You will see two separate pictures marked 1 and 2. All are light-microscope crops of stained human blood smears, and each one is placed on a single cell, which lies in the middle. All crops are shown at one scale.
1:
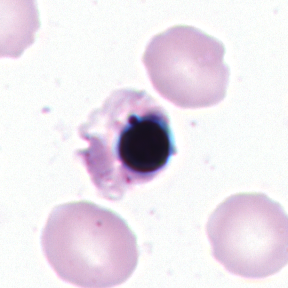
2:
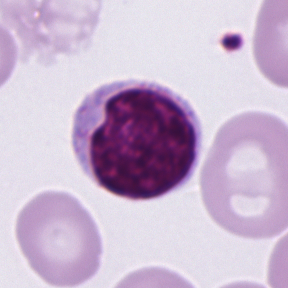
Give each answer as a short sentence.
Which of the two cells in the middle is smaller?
Smaller is the cell in picture 1, and the other is about 2.5 times as large in area.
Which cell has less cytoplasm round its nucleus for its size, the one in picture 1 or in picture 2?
The nucleus fills more of the cell in picture 2 than in picture 1.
